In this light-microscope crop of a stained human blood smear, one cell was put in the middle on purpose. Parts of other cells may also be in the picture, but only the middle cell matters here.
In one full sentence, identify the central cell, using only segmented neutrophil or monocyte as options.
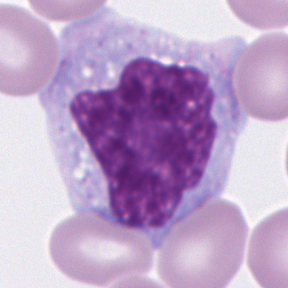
This particular crop is centered on a monocyte.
